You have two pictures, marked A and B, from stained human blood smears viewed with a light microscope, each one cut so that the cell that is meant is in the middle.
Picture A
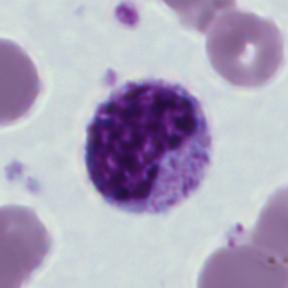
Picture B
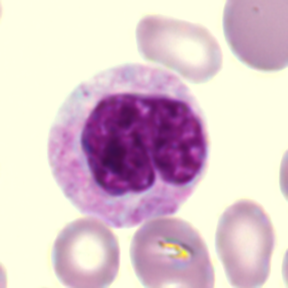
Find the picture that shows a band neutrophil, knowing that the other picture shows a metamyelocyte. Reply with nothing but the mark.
B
